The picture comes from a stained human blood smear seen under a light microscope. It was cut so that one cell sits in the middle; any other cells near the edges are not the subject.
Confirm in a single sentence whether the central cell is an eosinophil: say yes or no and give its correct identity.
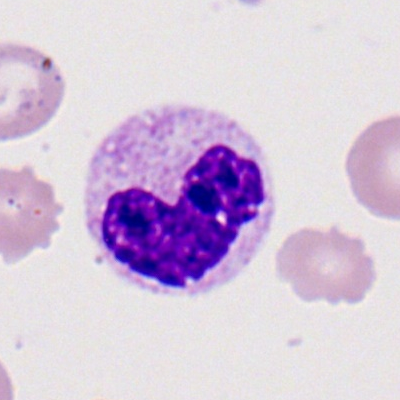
No, the cell found centrally in the crop is a band neutrophil, not an eosinophil.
